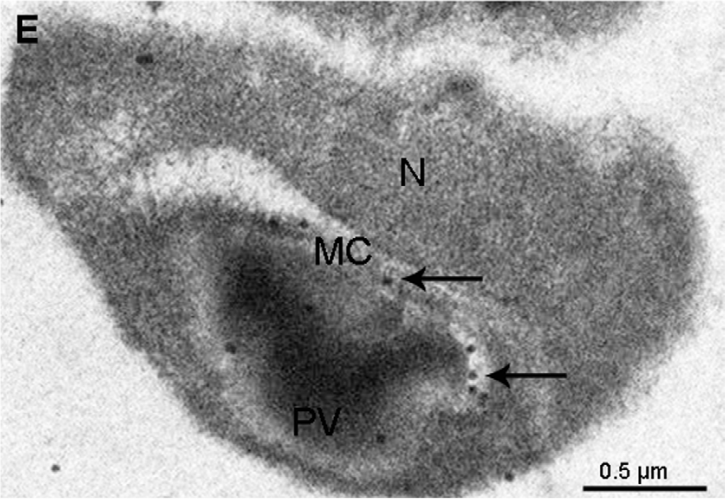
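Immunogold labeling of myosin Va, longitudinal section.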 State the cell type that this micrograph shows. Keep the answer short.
mid stage spermatid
